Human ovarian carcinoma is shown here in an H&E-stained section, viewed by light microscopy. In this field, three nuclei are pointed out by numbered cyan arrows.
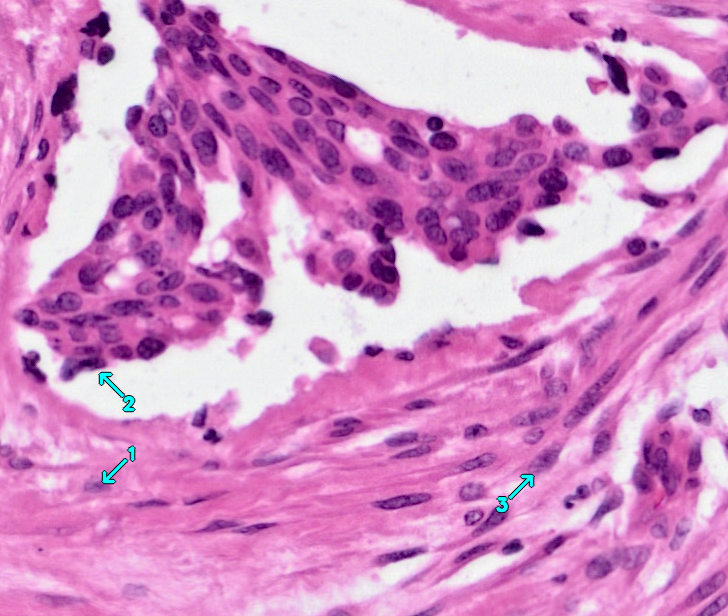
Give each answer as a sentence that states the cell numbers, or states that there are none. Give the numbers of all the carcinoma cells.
Only nucleus 2 belongs to a carcinoma cell; the other numbered nuclei do not.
